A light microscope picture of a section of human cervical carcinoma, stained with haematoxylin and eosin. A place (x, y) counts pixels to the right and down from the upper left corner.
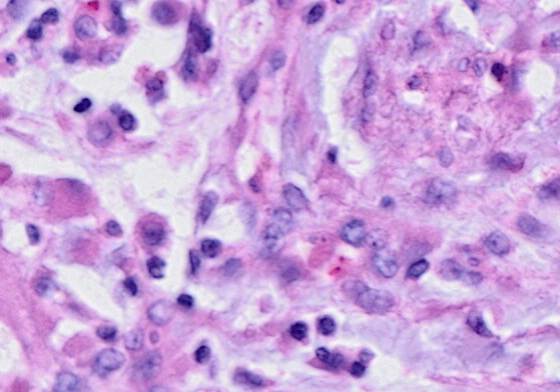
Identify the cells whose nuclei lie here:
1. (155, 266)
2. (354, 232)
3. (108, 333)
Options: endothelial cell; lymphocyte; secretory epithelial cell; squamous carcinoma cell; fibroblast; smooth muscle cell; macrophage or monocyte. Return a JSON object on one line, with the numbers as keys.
{"1": "lymphocyte", "2": "endothelial cell", "3": "lymphocyte"}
